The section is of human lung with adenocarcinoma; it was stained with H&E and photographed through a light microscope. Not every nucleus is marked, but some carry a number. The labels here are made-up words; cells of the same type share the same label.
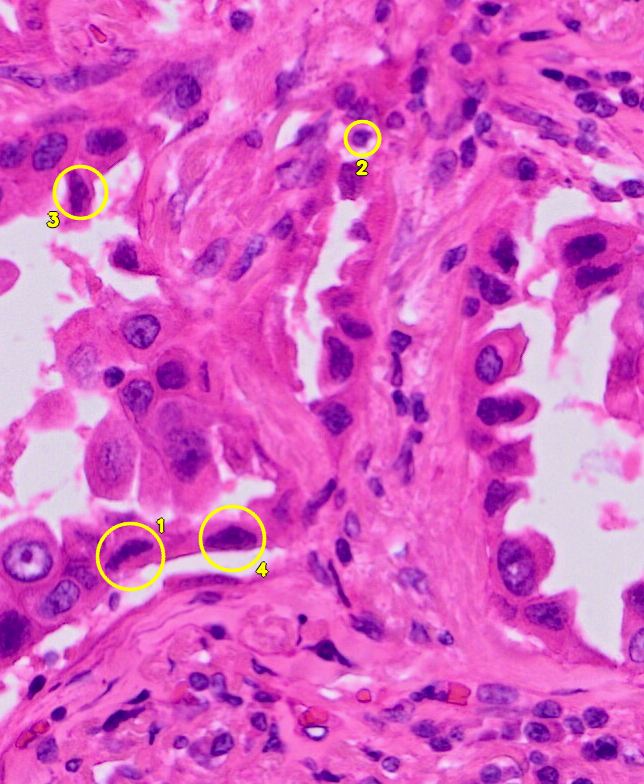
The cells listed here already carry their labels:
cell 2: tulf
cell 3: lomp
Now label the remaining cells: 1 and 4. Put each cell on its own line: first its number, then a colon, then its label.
1: lomp
4: lomp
